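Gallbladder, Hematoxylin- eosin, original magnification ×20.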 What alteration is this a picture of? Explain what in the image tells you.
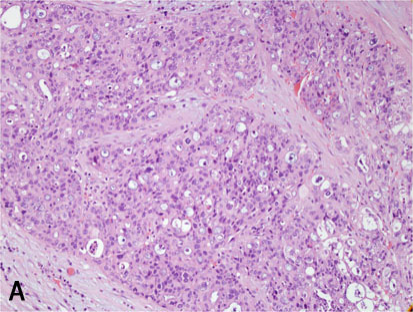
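Adenocarcinoma. Sheets and nests of crowded atypical epithelial cells separated by pink fibrous stroma. Scattered small gland-like spaces within the cell nests. Enlarged pleomorphic nuclei.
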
